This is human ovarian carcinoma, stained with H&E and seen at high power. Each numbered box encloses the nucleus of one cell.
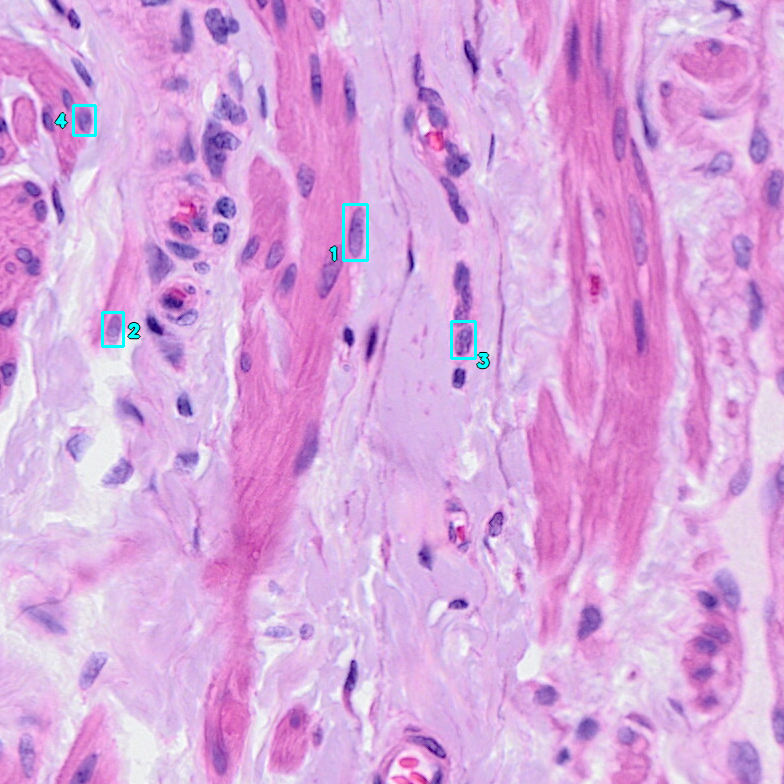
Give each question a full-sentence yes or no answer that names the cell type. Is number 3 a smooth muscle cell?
No, the cell at marker 3 is not a smooth muscle cell; it is an endothelial cell.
